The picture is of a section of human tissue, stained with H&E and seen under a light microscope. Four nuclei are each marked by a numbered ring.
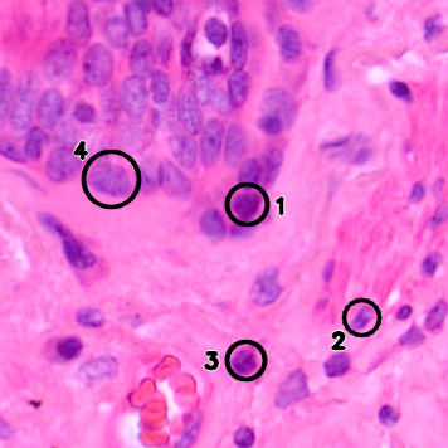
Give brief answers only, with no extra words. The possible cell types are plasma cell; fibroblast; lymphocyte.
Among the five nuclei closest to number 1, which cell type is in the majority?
plasma cell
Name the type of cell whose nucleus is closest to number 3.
fibroblast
